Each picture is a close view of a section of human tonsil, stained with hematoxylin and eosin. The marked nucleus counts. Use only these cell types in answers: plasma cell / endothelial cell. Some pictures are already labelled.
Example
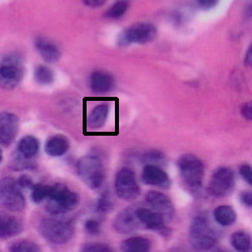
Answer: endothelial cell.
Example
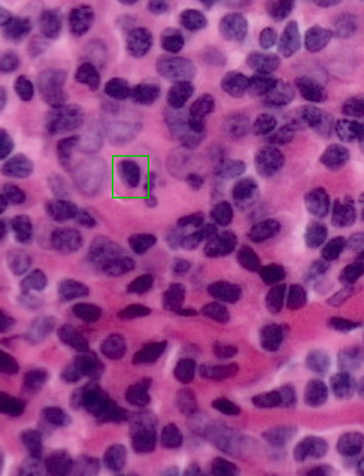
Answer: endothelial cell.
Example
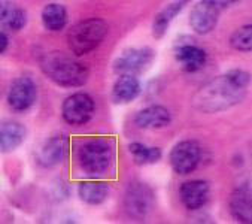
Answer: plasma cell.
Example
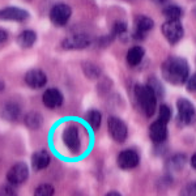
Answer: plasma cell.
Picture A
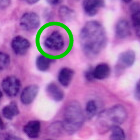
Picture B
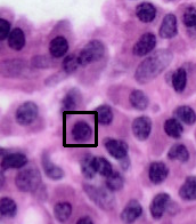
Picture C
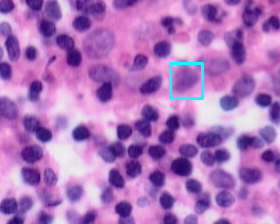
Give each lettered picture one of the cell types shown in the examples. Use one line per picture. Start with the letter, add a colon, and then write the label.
A: plasma cell.
B: plasma cell.
C: endothelial cell.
